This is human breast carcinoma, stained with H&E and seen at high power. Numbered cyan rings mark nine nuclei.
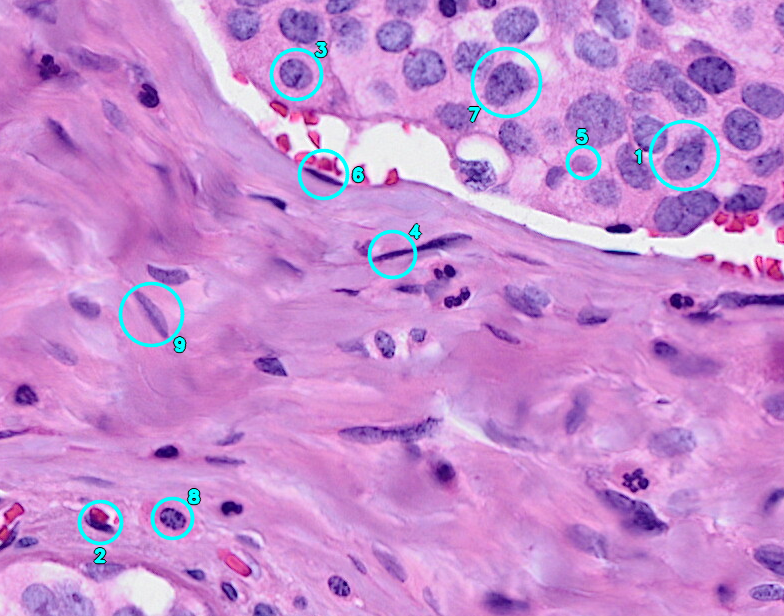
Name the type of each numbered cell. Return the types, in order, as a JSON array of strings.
["carcinoma cell", "endothelial cell", "carcinoma cell", "fibroblast", "carcinoma cell", "endothelial cell", "carcinoma cell", "mast cell", "fibroblast"]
